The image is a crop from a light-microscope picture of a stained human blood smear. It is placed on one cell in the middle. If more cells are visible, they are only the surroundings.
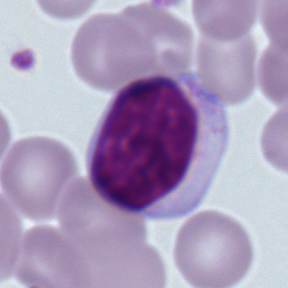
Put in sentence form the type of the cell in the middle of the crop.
To answer, the cell in the center of the crop is a large granular lymphocyte.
